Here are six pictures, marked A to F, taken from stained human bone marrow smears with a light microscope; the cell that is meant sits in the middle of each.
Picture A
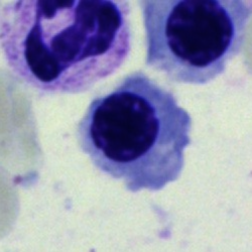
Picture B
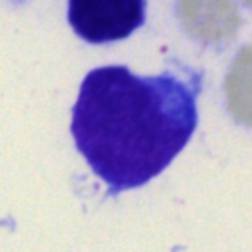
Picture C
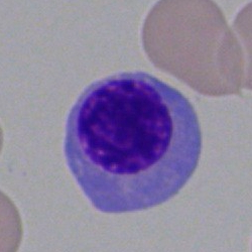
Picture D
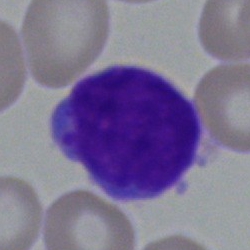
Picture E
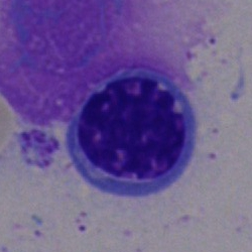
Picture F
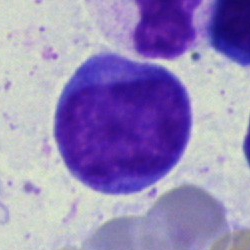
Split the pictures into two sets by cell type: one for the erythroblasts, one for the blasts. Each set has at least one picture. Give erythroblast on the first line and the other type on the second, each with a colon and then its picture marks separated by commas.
erythroblast: A, C, E
blast: B, D, F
